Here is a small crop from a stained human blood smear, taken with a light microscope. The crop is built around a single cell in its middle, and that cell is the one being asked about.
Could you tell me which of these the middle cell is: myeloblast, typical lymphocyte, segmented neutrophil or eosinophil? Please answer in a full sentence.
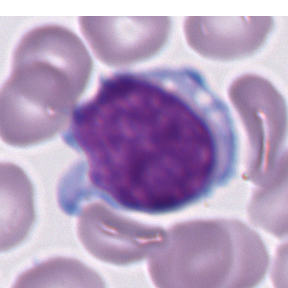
As for the central cell, it is a myeloblast.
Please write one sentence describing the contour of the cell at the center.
A ragged or projecting edge replaces the smooth outline in this cell.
